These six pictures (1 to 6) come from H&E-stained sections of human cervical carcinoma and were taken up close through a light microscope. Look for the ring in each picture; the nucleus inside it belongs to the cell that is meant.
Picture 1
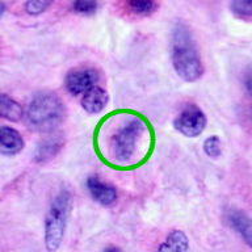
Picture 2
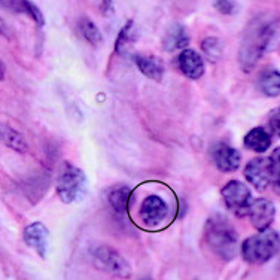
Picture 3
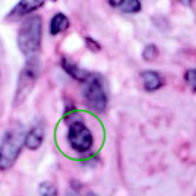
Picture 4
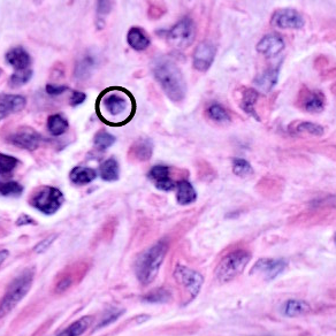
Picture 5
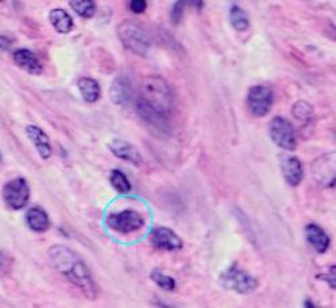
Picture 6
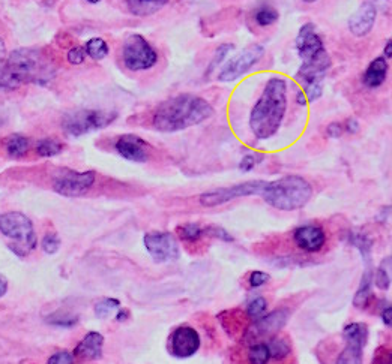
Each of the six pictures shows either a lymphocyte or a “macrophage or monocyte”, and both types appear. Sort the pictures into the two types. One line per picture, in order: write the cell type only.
macrophage or monocyte
lymphocyte
lymphocyte
lymphocyte
lymphocyte
macrophage or monocyte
